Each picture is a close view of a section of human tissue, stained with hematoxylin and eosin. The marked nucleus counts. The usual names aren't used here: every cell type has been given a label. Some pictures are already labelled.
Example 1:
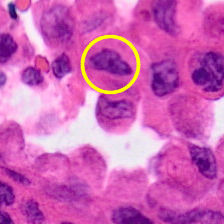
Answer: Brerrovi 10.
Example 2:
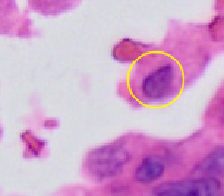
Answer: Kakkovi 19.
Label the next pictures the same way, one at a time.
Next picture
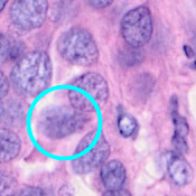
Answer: Brerrovi 10.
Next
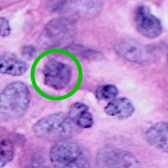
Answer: Kakkovi 19.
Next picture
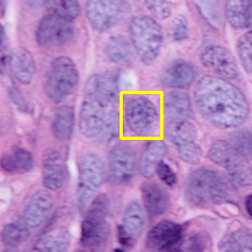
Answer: Brerrovi 10.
